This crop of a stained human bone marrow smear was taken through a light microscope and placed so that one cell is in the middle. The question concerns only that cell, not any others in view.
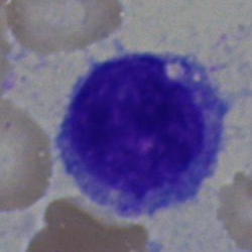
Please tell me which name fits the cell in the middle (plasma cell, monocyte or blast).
monocyte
